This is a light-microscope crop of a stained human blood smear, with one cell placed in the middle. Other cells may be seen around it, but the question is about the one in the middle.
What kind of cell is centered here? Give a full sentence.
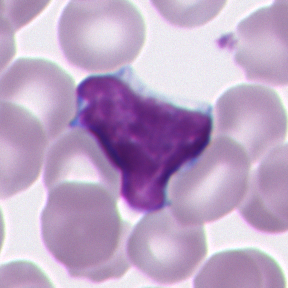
The central element of this crop is a cell, namely a typical lymphocyte.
